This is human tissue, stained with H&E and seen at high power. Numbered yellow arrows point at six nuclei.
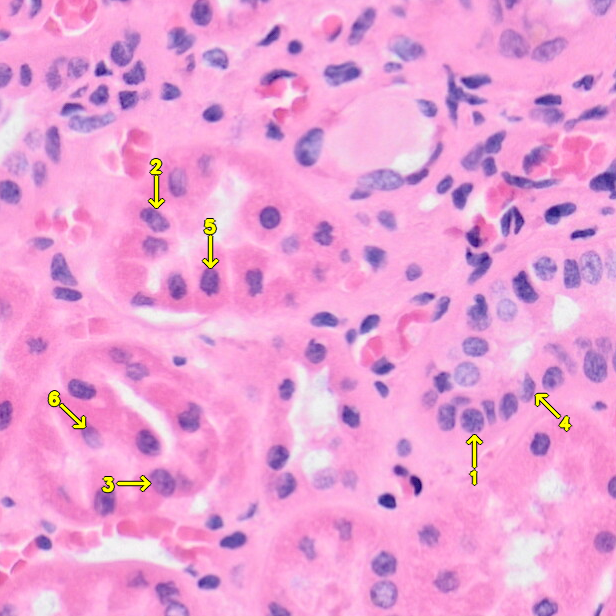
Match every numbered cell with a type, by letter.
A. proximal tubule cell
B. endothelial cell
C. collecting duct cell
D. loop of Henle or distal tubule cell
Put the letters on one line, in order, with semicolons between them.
C; A; A; C; A; A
